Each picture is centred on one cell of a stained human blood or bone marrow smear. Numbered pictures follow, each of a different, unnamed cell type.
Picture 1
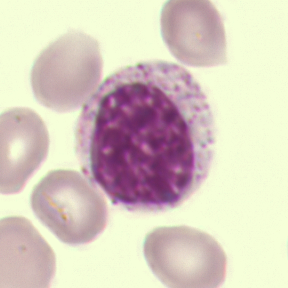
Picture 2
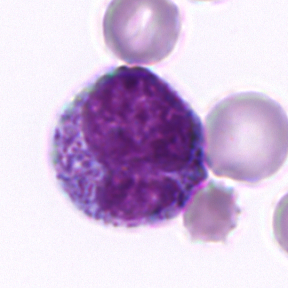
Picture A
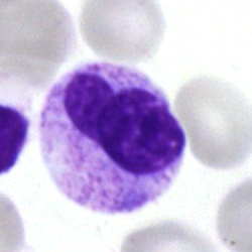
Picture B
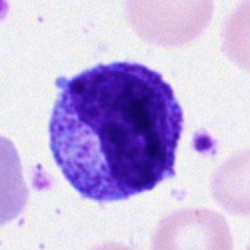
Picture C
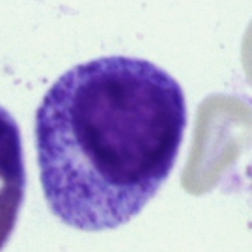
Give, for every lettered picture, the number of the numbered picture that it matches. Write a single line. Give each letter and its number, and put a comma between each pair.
A 1, B 1, C 2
